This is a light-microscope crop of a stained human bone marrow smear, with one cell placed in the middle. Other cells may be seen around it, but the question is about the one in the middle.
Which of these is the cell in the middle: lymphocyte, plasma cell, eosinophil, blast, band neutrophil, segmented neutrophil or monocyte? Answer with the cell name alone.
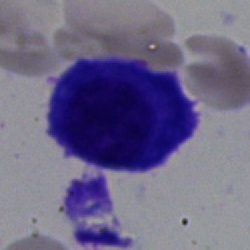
plasma cell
